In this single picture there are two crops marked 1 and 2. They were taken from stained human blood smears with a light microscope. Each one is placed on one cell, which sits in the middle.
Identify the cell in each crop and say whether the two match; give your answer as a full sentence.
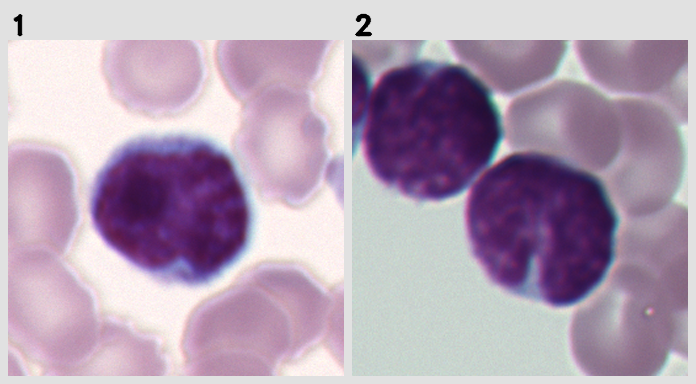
Yes, both crops here show typical lymphocytes, the pair of them.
